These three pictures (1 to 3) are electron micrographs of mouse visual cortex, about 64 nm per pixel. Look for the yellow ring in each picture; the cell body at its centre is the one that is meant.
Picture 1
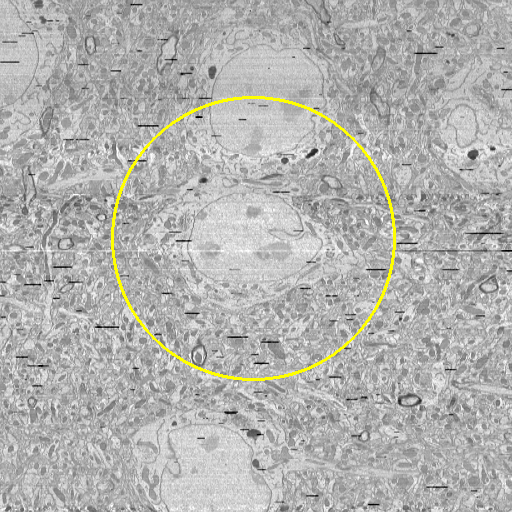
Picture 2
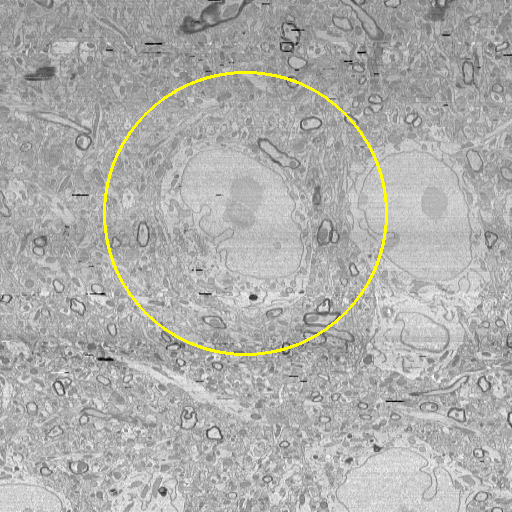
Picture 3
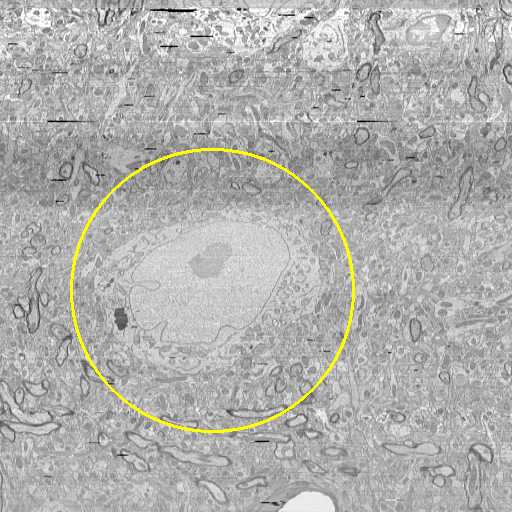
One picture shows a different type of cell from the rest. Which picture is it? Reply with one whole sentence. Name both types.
The different one is picture 2; it shows an inhibitory neuron, whereas all the others show excitatory neurons.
